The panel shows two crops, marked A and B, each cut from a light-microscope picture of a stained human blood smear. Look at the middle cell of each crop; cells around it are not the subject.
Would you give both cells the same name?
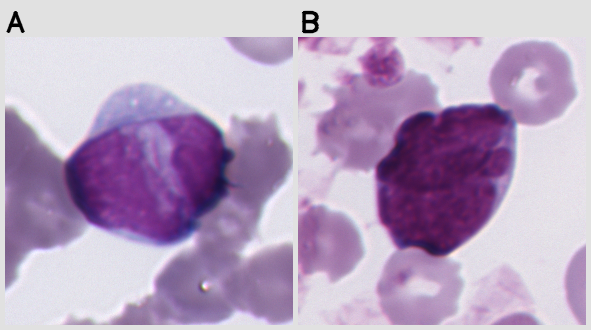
yes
